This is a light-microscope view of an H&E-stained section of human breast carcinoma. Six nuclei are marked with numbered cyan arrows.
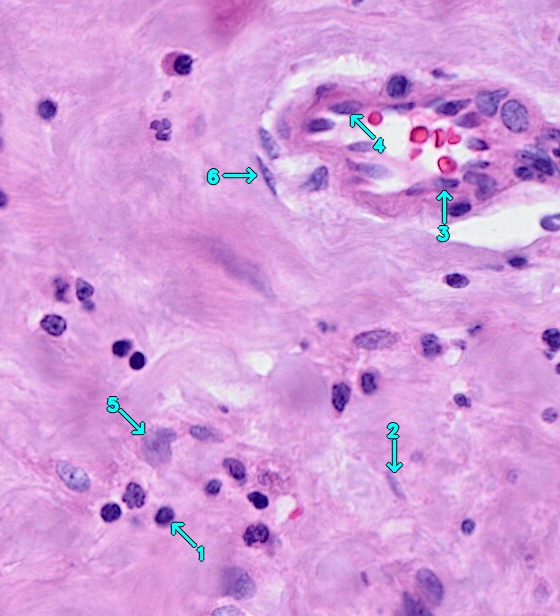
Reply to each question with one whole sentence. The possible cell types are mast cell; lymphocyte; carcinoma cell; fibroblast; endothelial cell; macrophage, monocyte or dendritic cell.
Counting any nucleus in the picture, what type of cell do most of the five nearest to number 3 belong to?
The majority of the five nuclei closest to number 3 belong to endothelial cells.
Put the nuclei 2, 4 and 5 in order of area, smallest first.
Smallest first, the nuclei run 2, 4, 5.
